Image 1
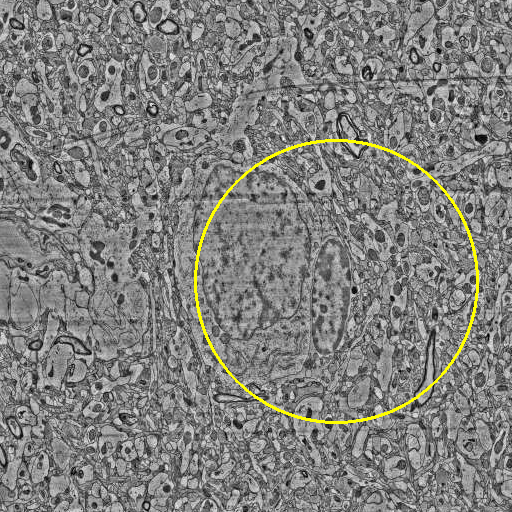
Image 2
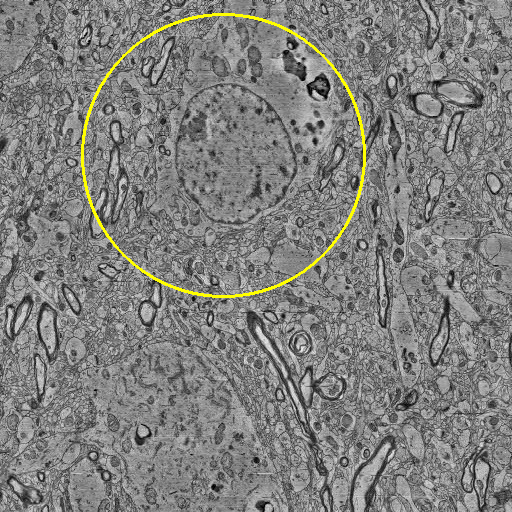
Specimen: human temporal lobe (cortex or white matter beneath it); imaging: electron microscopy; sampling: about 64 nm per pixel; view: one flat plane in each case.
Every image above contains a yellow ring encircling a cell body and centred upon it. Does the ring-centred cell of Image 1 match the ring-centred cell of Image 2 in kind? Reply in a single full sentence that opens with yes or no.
No, the cell at the ring's centre in Image 1 is a separate kind from that in Image 2.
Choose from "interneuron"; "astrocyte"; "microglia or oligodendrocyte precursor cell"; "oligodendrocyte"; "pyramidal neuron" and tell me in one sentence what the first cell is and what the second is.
What the first ring is centred on is a microglial cell or oligodendrocyte precursor cell; what the second ring is centred on is an astrocyte.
